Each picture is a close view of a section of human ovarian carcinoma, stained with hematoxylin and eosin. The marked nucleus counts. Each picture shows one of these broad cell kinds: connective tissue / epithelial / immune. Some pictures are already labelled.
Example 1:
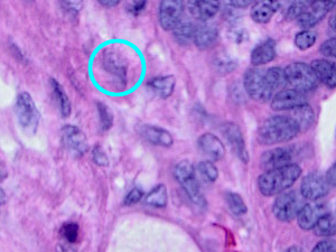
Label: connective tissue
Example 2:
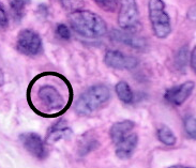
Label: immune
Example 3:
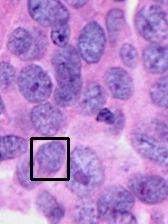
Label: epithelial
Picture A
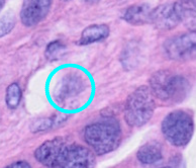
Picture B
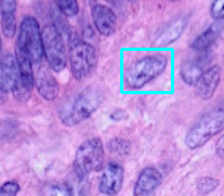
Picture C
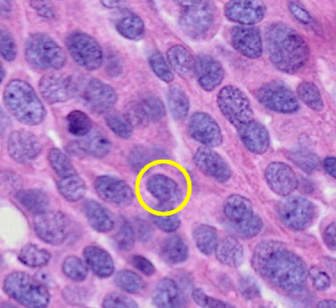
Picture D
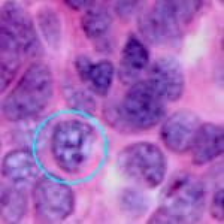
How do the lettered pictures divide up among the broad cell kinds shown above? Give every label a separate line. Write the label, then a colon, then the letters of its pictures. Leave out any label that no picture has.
connective tissue: A, B
epithelial: C
immune: D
